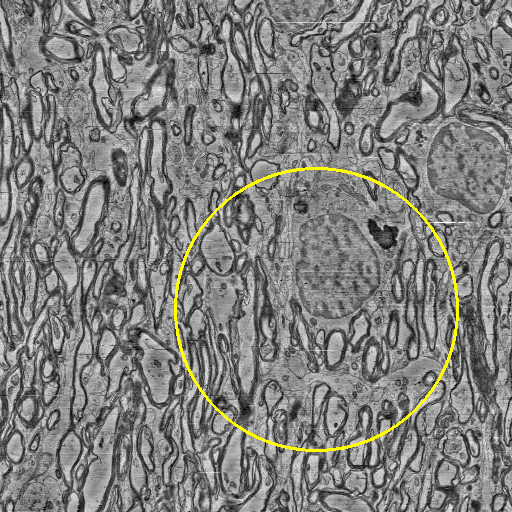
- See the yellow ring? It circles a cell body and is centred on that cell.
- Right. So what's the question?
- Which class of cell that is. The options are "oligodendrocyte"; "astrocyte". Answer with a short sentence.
The centre of the ring holds an oligodendrocyte.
